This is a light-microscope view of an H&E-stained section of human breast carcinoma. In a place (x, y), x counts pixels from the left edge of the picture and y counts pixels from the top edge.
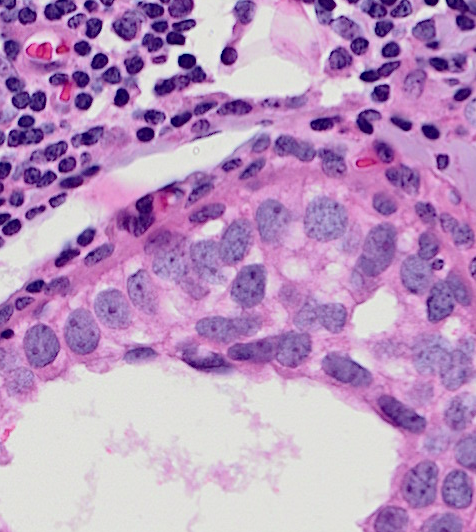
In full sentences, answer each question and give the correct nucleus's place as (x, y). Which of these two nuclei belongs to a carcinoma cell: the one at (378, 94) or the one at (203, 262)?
Of the two nuclei, the one at (203, 262) belongs to a carcinoma cell.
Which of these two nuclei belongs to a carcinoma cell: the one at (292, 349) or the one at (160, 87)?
It is at (292, 349) that the nucleus of a carcinoma cell is found.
